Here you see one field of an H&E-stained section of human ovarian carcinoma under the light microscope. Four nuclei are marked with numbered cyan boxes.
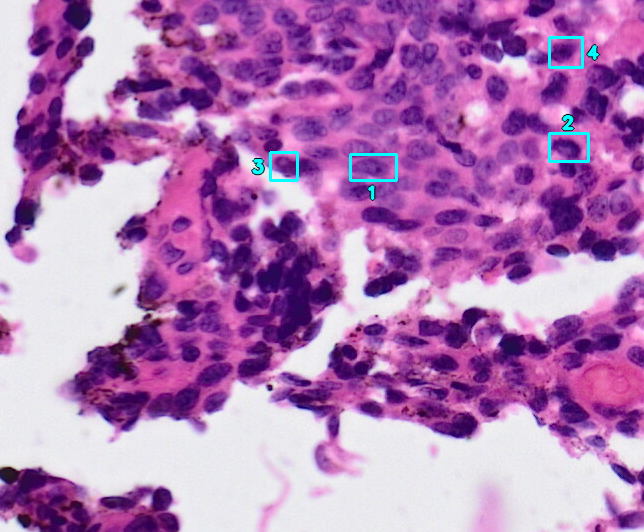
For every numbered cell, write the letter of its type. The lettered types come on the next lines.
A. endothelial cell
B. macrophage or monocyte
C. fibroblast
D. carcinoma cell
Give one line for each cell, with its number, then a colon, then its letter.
1: D
2: B
3: D
4: D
